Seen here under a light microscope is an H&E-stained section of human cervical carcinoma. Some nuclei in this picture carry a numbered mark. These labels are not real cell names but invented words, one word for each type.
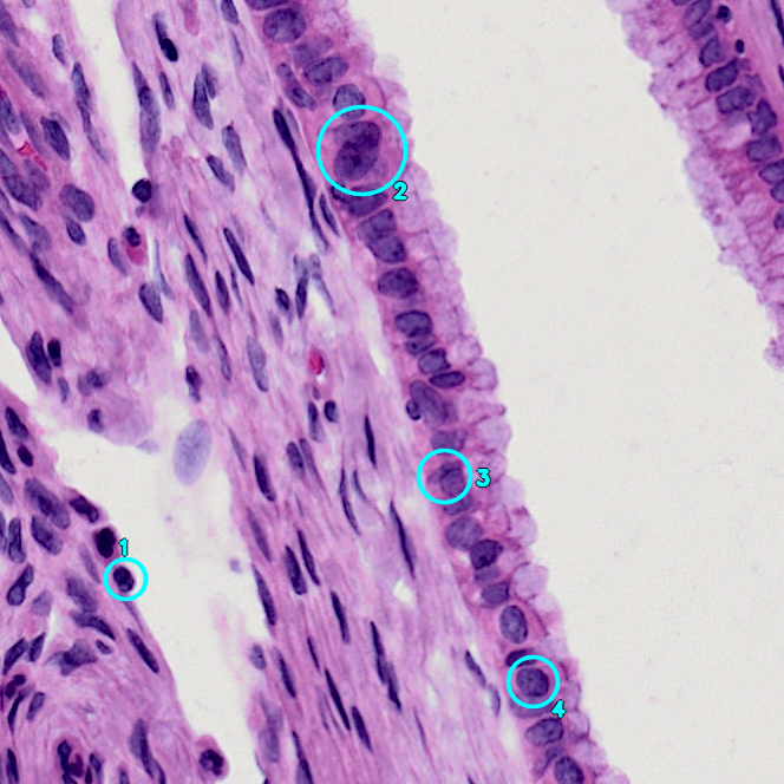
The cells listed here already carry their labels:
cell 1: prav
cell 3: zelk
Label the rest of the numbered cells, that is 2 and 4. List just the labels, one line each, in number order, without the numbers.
zelk
zelk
